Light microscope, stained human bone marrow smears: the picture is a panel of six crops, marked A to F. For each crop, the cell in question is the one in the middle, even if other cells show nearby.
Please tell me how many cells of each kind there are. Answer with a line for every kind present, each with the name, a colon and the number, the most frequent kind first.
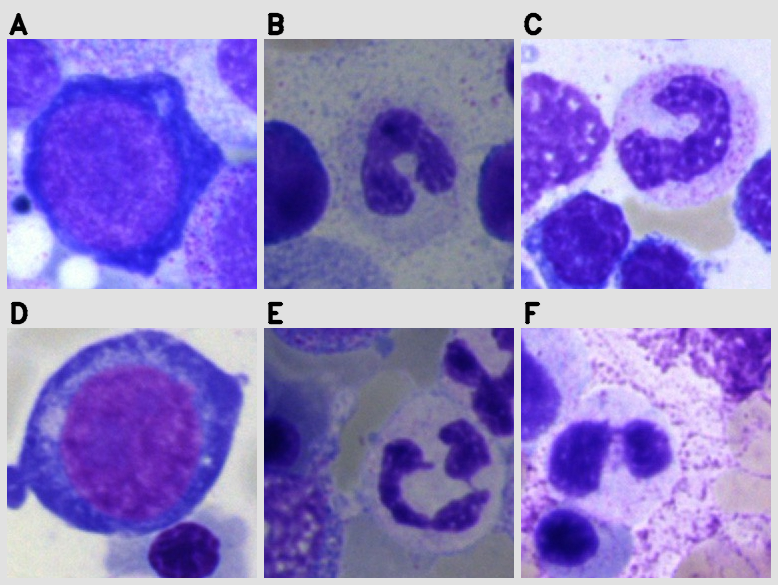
segmented neutrophil: 4
proerythroblast: 2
